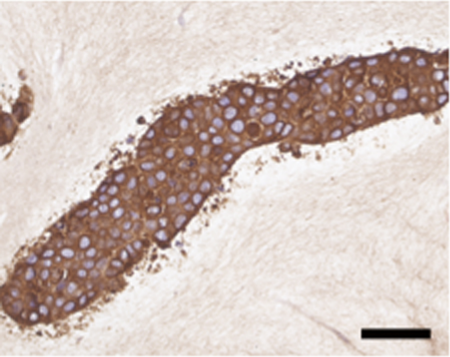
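The cytoplasm of nearly every cell in the cord is stained an intense brown. The nuclei are round to oval, pale blue, and fairly uniform, with cells pressed closely against one another without an obvious central space. Small brown fragments and loosened cells lie along the edges of the cord, and the surrounding matrix holds only a few scattered cells.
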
